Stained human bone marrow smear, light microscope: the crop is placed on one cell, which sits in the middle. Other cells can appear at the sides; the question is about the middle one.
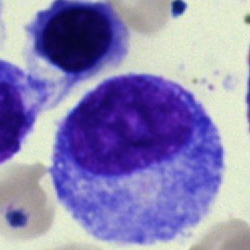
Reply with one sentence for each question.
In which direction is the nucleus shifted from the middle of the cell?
It is shifted toward the top of the cell.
